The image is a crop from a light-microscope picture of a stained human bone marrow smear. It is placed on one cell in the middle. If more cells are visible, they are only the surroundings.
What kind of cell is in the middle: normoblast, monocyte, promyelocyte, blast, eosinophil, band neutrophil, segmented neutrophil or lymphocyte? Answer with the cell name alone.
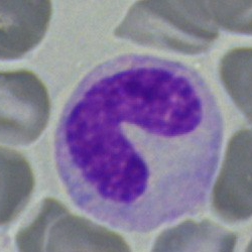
band neutrophil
